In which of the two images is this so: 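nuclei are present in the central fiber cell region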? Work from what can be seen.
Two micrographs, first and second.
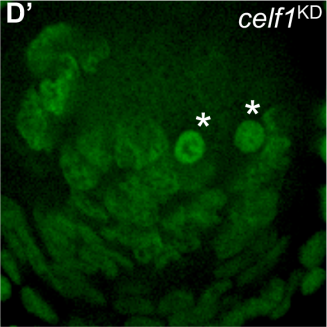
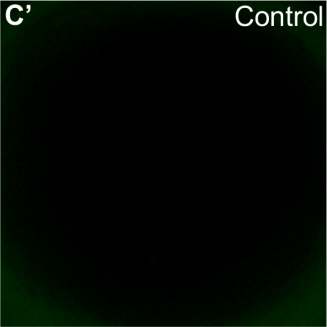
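Second image: the field is uniformly dark with no nuclei. On this evidence: the first image.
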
